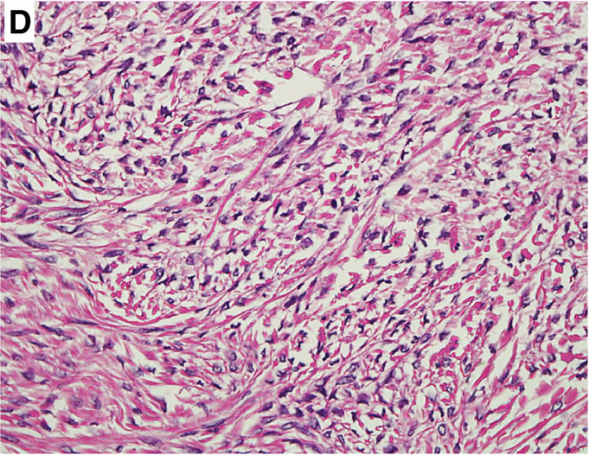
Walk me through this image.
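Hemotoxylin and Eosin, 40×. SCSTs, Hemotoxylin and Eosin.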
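This is a fibroma made of spindle-shaped cells in loose, intersecting fascicles within pale pink collagenous stroma. The nuclei are small, slender and bland, with very little cytoplasm around them.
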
